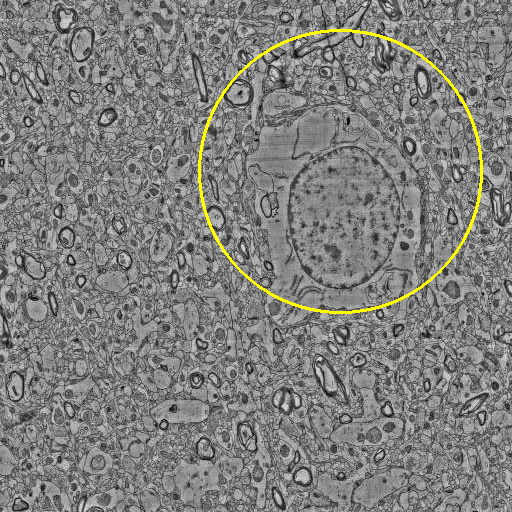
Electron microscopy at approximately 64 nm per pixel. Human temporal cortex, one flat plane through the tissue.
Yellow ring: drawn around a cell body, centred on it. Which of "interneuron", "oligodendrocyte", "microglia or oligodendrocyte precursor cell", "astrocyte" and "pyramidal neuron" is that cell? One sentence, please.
That cell body is from an astrocyte.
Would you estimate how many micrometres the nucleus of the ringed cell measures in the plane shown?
In this plane the nucleus spans approximately 9 by 7 micrometers.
